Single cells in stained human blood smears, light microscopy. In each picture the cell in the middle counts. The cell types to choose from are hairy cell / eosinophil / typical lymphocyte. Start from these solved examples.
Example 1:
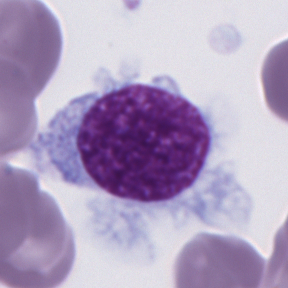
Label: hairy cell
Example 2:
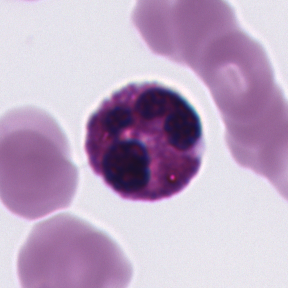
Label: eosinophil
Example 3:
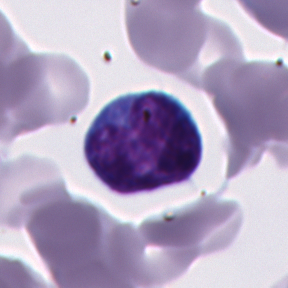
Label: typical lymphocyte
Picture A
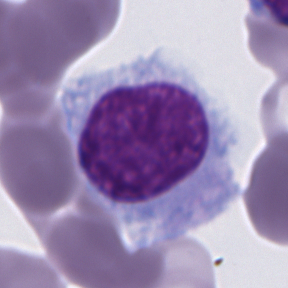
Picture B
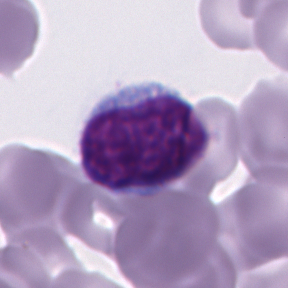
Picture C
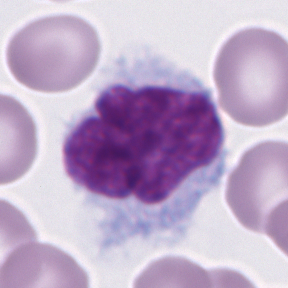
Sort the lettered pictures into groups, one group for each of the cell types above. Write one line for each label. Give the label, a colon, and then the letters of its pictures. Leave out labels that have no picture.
hairy cell: A, C
typical lymphocyte: B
